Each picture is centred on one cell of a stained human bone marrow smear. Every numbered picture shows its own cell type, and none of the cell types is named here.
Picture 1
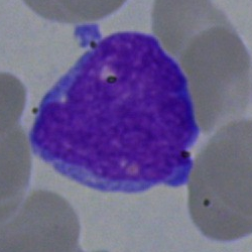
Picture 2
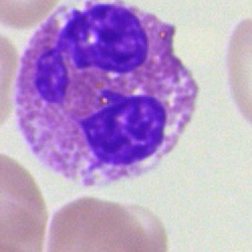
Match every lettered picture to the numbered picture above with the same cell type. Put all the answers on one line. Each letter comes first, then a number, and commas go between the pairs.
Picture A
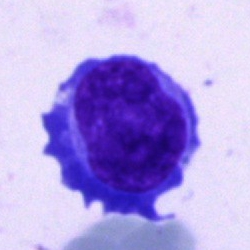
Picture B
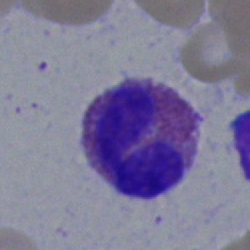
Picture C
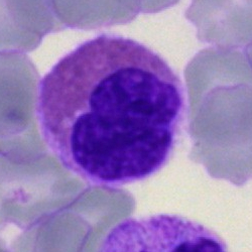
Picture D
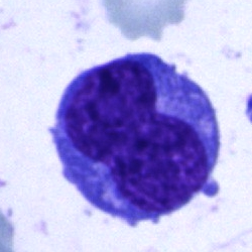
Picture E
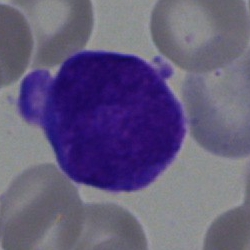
A 1, B 2, C 2, D 1, E 1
